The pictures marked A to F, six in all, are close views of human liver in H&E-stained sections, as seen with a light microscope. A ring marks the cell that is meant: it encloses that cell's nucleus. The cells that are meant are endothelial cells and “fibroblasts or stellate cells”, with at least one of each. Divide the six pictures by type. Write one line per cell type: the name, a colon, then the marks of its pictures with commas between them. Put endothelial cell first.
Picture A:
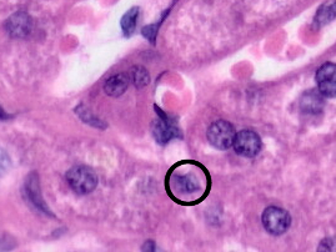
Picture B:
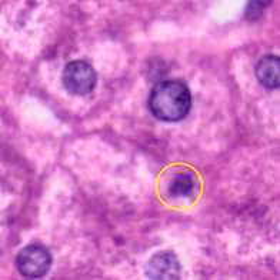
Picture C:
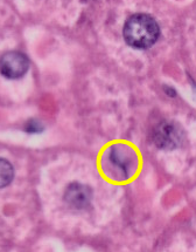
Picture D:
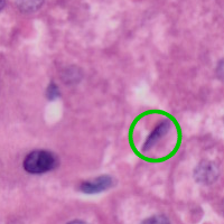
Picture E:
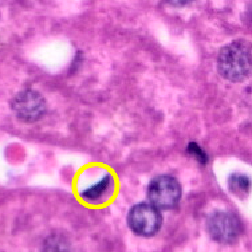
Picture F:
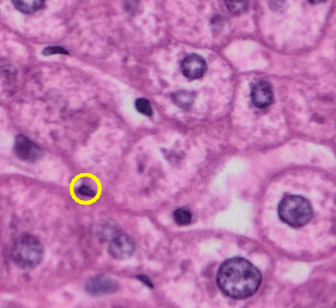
endothelial cell: B, C, D, E
fibroblast or stellate cell: A, F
